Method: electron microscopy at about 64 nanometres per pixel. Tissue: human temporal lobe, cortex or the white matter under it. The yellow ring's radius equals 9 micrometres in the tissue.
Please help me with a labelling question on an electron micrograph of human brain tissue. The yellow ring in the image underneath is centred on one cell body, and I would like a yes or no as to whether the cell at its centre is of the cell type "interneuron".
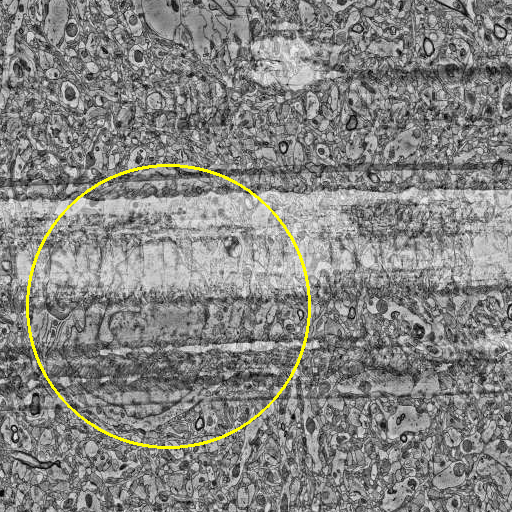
yes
